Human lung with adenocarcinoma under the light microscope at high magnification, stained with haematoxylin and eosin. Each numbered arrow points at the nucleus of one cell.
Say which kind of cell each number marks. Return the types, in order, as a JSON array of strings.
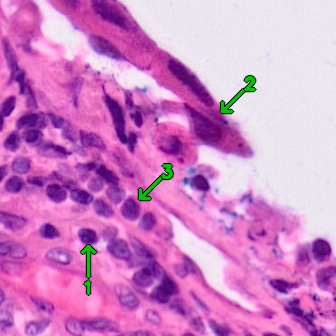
["lymphocyte", "carcinoma cell", "lymphocyte"]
